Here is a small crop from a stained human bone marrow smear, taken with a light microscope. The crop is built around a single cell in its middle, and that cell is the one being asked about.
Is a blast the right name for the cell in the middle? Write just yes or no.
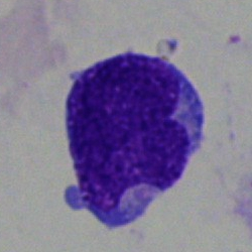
yes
